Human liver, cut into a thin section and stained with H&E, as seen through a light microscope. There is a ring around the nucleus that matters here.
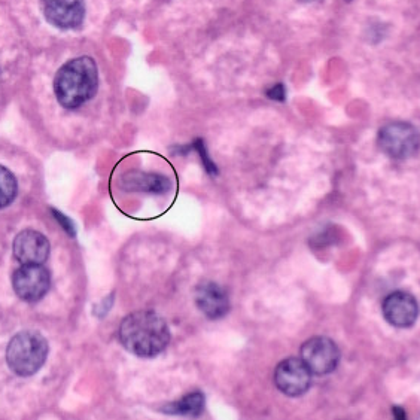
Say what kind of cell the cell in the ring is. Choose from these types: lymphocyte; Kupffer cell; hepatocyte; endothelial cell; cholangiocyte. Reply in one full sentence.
Histopathologically, the cell in the ring is a Kupffer cell.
